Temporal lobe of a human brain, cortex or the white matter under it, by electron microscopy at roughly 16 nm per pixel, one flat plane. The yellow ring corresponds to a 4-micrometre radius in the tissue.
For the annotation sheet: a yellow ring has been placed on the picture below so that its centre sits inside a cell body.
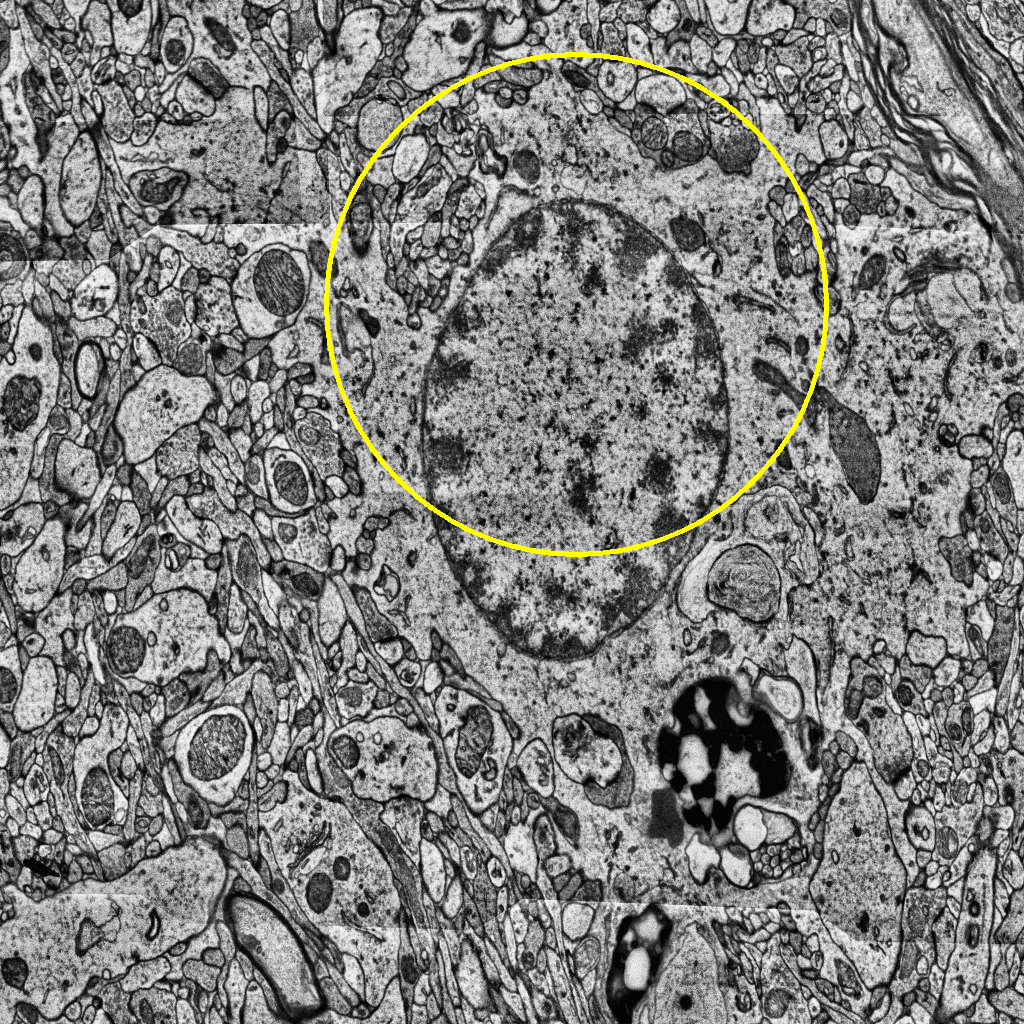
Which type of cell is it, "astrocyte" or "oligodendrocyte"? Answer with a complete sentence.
The cell at the ring's centre is an astrocyte.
